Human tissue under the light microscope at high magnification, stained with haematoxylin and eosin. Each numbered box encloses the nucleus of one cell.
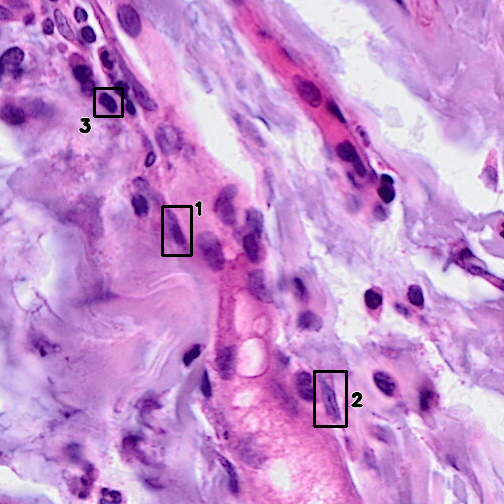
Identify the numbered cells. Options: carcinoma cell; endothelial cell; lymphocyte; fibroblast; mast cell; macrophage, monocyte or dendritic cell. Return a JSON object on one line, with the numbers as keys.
{"1": "fibroblast", "2": "fibroblast", "3": "lymphocyte"}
